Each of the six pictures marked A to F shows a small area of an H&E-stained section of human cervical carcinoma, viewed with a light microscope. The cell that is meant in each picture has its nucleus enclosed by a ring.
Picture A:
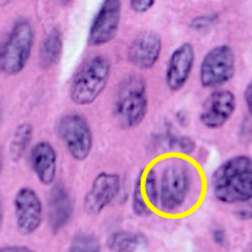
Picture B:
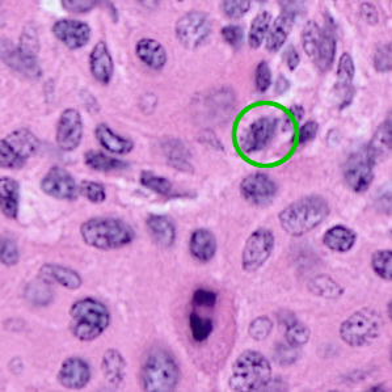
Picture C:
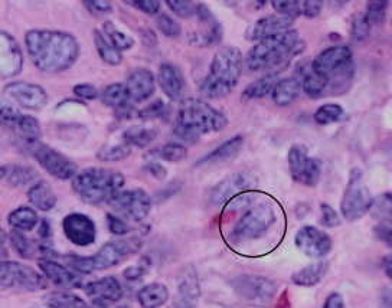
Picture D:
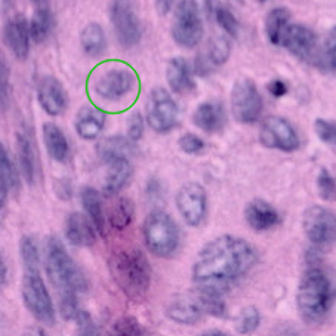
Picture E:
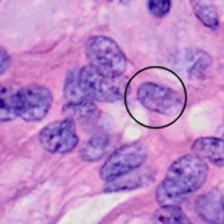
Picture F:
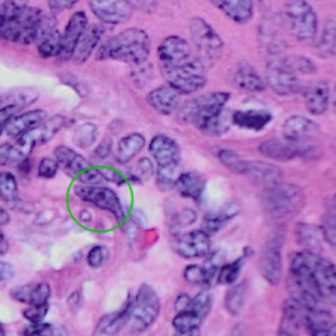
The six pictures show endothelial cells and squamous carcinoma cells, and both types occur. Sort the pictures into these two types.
A: squamous carcinoma cell
B: squamous carcinoma cell
C: endothelial cell
D: squamous carcinoma cell
E: endothelial cell
F: endothelial cell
